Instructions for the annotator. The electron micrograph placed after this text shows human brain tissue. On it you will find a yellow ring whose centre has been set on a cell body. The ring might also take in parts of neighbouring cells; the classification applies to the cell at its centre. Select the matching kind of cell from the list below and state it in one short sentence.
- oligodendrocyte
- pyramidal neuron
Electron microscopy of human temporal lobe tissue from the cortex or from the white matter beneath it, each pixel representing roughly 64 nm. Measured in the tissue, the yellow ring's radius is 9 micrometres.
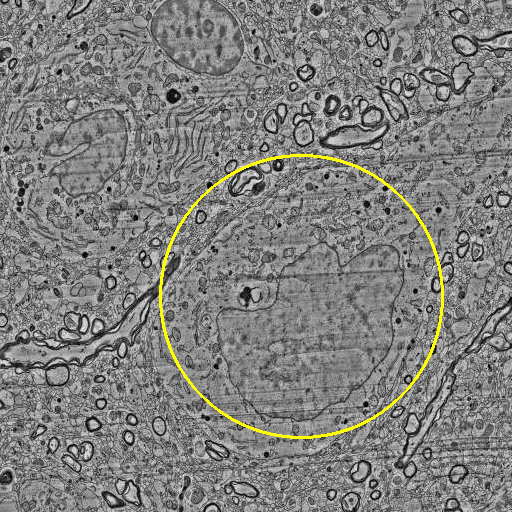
The ring is drawn on the cell body of a pyramidal neuron.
